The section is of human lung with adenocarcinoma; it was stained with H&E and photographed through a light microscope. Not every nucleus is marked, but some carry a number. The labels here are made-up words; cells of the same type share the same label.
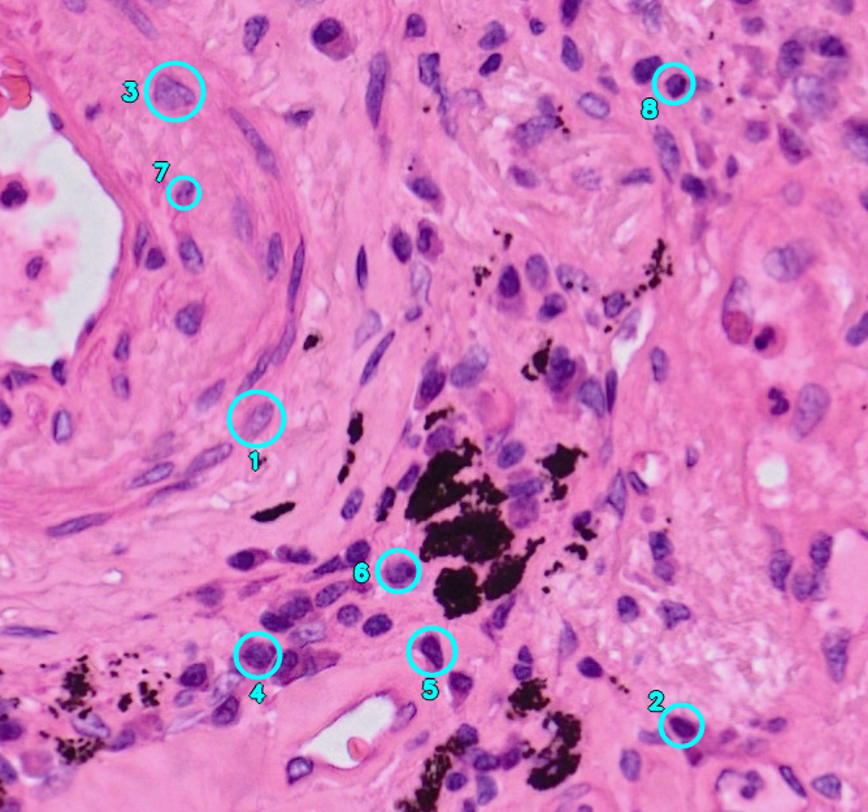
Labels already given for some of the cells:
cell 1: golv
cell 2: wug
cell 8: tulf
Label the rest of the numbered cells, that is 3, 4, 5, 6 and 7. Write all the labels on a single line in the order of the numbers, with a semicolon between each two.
golv; wug; wug; wug; golv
